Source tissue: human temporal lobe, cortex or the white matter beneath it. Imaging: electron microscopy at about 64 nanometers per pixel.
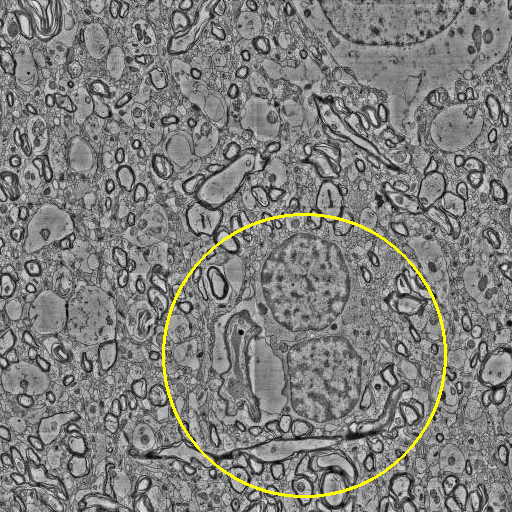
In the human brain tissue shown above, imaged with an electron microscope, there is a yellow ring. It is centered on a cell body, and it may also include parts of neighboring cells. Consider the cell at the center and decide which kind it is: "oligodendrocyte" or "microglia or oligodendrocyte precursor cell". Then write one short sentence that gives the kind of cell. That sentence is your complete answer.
This centered cell body is that of an oligodendrocyte.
